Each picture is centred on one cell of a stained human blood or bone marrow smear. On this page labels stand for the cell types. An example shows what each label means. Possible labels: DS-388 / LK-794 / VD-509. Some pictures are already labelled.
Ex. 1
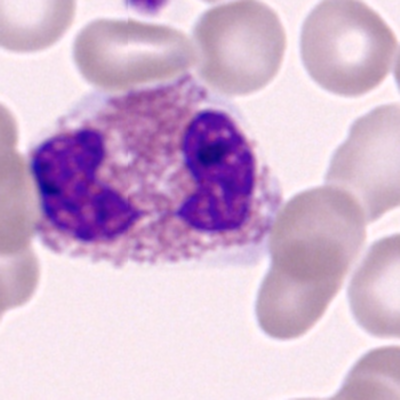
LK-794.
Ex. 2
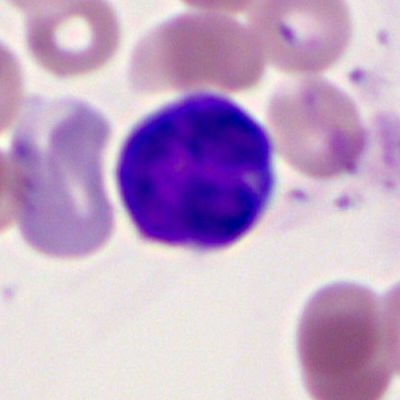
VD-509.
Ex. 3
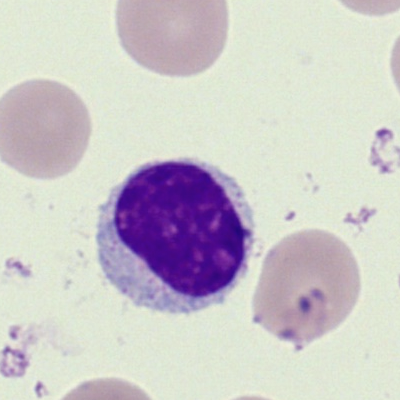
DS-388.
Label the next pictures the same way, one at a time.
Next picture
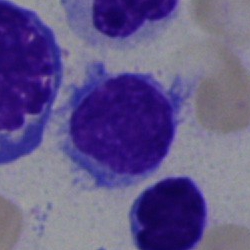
DS-388.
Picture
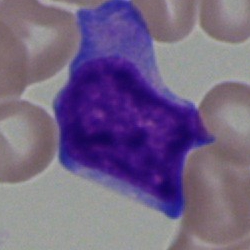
VD-509.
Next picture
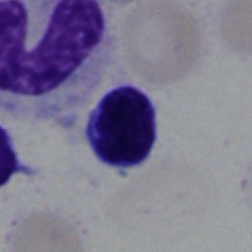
DS-388.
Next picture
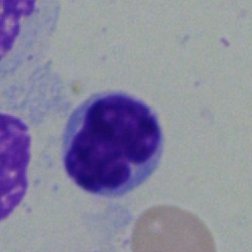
DS-388.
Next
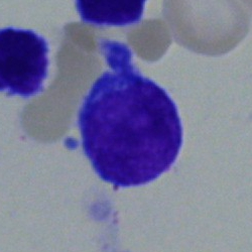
DS-388.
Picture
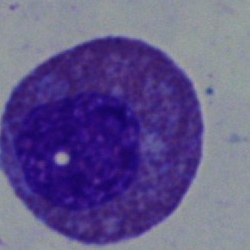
LK-794.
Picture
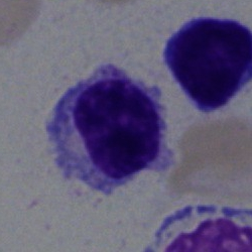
DS-388.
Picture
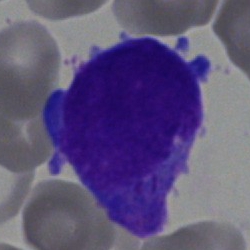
VD-509.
